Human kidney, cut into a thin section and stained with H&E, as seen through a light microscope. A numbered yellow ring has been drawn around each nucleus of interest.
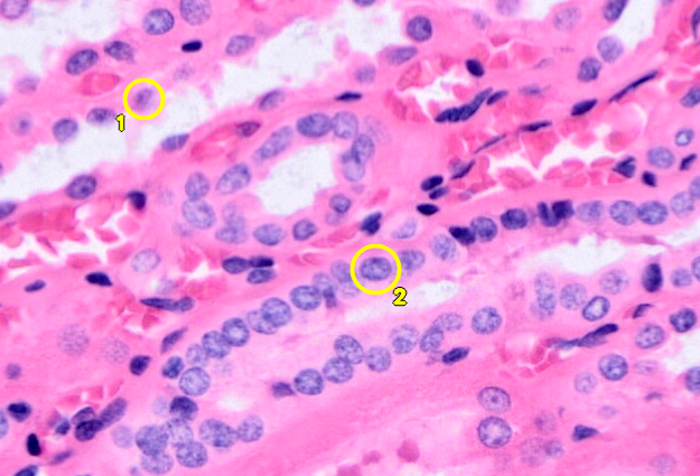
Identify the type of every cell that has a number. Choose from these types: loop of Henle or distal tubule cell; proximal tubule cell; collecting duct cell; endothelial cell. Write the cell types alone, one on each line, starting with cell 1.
loop of Henle or distal tubule cell
collecting duct cell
